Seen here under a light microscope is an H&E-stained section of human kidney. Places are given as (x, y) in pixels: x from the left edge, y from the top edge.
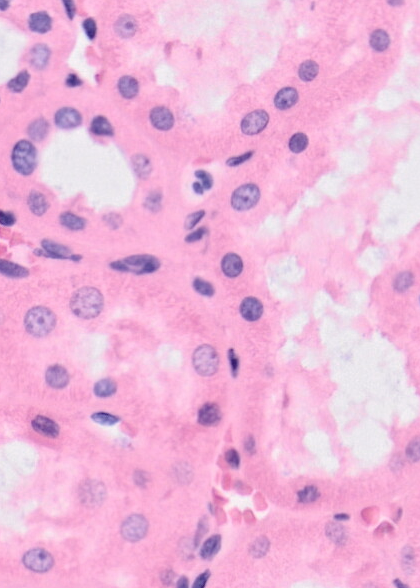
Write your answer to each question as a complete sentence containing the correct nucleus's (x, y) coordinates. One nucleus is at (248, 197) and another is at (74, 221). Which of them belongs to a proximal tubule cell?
Which one belongs to a proximal tubule cell? The nucleus at (248, 197) does.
